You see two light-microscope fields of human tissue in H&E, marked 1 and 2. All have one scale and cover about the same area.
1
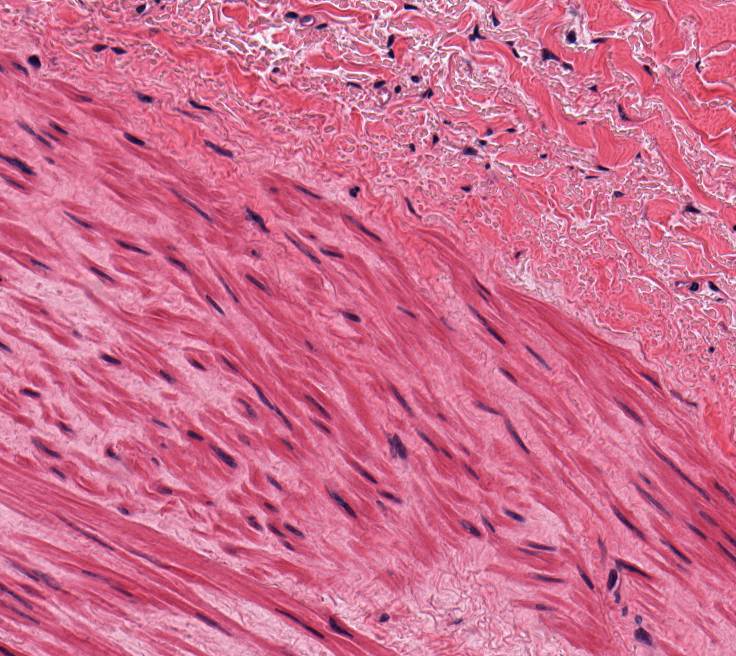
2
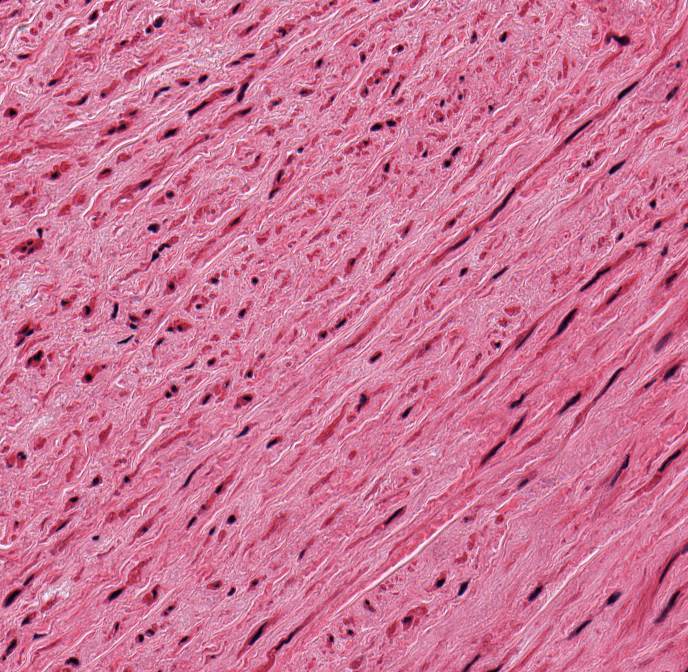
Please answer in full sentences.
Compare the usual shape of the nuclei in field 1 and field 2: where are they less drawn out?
The nuclei are rounder in field 2.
